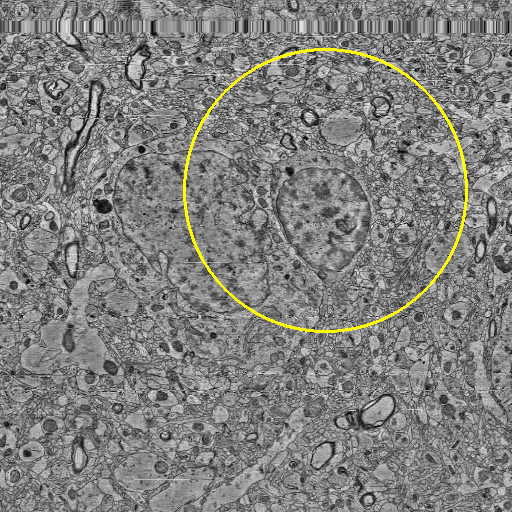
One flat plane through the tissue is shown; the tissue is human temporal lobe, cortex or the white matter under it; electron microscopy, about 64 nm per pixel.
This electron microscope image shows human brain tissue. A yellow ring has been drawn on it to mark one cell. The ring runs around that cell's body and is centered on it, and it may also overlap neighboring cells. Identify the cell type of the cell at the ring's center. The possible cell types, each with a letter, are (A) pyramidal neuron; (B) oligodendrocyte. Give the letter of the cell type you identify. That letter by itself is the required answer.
B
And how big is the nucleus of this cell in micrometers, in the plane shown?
In this plane the nucleus measures roughly 8 by 6 micrometers.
